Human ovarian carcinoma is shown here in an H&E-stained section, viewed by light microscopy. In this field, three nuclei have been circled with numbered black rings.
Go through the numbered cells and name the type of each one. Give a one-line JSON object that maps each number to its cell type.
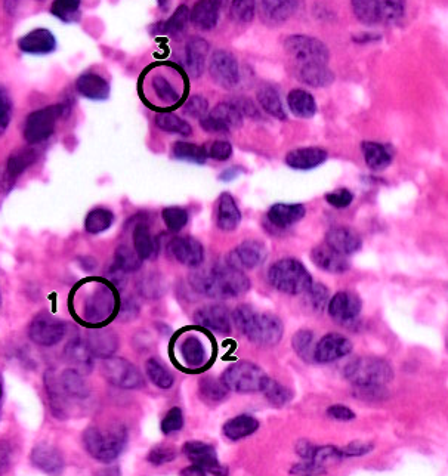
{"1": "carcinoma cell", "2": "carcinoma cell", "3": "macrophage or monocyte"}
